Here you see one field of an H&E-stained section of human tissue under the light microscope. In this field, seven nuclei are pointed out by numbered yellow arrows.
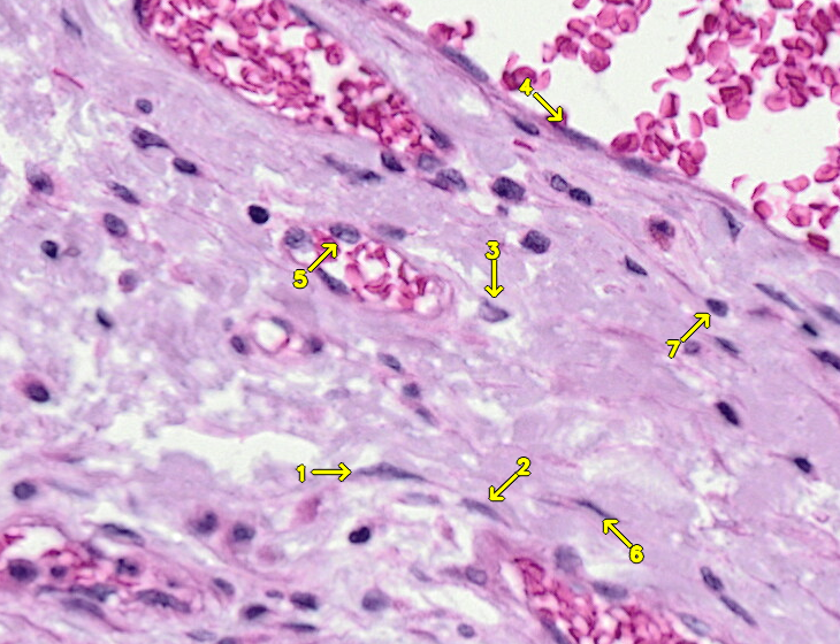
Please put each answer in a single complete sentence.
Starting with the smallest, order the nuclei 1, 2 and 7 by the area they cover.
From smallest to largest, the order is 7, 2, 1.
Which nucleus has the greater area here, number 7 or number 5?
At about 1.5 times the area of nucleus 7, nucleus 5 is the larger of the two.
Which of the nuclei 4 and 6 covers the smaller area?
Number 6 is smaller, since number 4 takes up about 1.5 times as much area.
